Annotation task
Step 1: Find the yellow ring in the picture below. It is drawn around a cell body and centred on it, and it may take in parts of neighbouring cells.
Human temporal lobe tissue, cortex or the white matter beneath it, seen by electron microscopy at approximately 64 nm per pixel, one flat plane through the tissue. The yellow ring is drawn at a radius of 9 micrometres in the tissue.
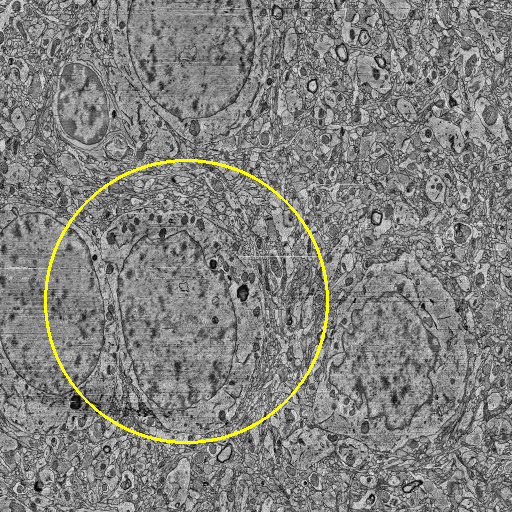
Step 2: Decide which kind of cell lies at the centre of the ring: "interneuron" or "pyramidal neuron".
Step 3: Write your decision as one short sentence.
The kind of cell at the ring's centre is a pyramidal neuron.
